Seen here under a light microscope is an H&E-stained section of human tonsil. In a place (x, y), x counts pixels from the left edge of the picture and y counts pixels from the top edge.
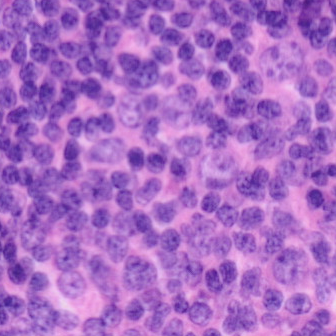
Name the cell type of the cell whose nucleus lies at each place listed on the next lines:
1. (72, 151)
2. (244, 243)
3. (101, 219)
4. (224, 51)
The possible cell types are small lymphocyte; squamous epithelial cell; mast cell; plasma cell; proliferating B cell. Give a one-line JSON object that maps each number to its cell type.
{"1": "small lymphocyte", "2": "proliferating B cell", "3": "proliferating B cell", "4": "small lymphocyte"}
